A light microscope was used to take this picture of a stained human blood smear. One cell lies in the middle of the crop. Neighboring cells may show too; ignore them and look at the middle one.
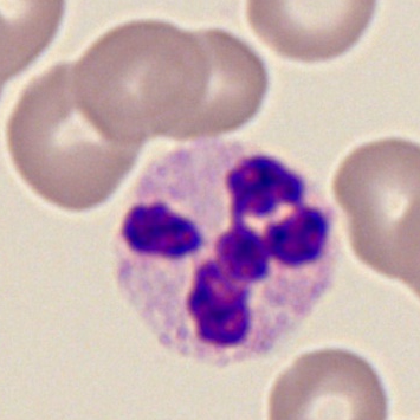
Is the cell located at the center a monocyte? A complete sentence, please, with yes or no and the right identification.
No, the middle of the crop holds a segmented neutrophil, not a monocyte.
